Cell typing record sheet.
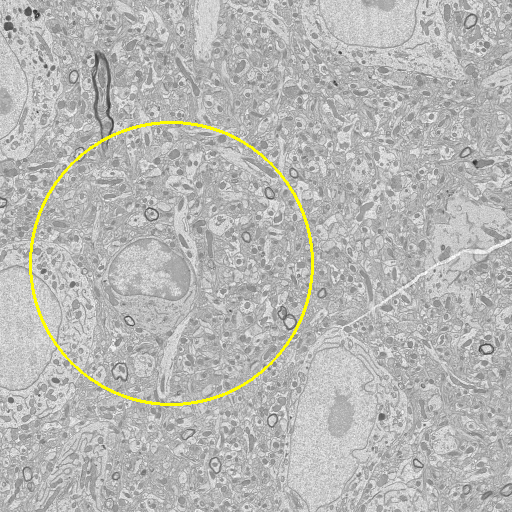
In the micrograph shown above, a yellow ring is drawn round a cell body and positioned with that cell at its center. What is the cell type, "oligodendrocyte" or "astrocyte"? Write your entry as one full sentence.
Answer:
The cell body at the center of the ring belongs to an oligodendrocyte.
